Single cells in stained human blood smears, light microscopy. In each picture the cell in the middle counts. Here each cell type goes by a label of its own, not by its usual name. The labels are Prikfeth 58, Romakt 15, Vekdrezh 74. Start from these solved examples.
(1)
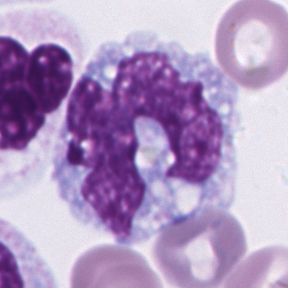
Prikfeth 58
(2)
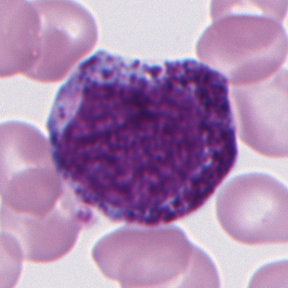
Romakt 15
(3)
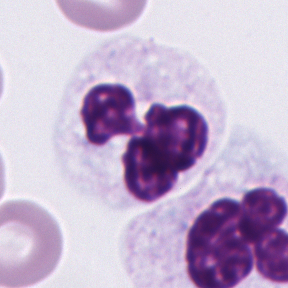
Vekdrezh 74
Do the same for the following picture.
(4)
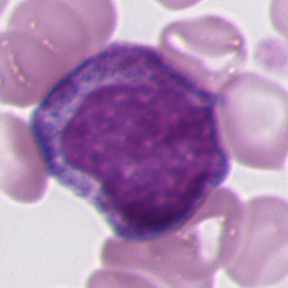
Romakt 15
